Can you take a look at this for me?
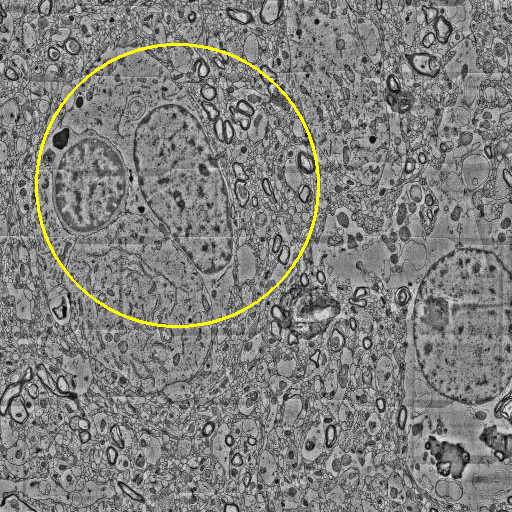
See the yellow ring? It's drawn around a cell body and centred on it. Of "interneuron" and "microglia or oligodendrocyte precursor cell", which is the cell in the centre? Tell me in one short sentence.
The one in the centre is a microglial cell or oligodendrocyte precursor cell.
